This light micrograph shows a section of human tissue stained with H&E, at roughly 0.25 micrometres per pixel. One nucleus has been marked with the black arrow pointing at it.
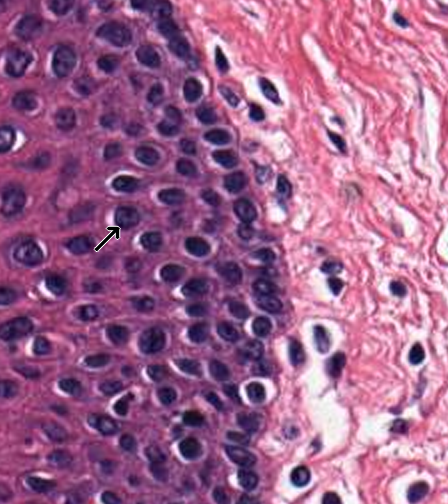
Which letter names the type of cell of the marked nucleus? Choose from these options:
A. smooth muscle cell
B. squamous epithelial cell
B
